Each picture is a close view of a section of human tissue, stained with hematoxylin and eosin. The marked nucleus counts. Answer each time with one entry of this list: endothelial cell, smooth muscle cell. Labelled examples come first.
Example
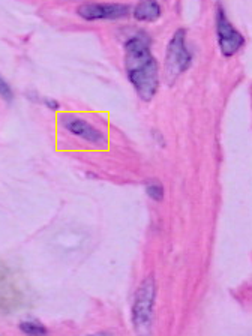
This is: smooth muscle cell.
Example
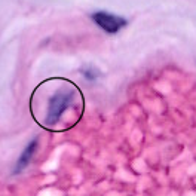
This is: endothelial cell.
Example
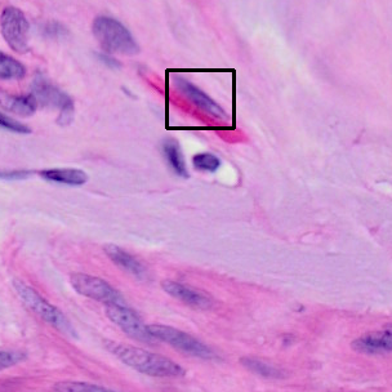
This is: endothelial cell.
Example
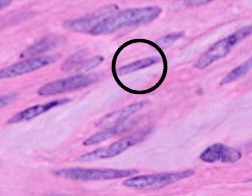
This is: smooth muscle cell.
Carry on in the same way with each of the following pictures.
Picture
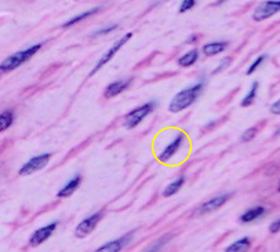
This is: smooth muscle cell.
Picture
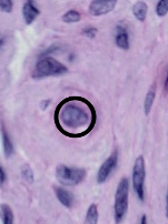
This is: endothelial cell.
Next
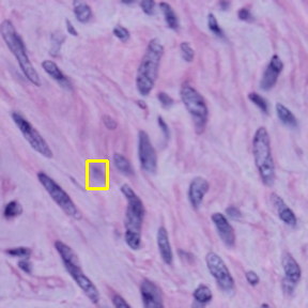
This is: smooth muscle cell.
